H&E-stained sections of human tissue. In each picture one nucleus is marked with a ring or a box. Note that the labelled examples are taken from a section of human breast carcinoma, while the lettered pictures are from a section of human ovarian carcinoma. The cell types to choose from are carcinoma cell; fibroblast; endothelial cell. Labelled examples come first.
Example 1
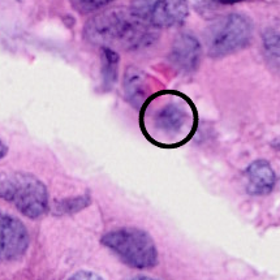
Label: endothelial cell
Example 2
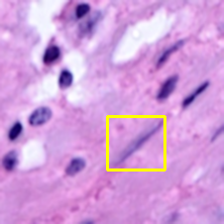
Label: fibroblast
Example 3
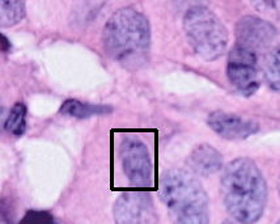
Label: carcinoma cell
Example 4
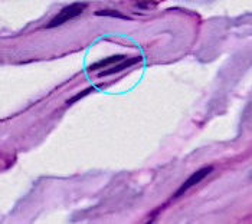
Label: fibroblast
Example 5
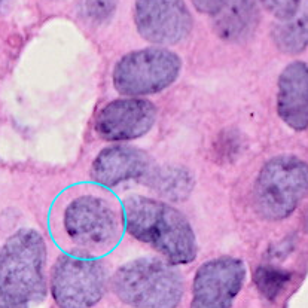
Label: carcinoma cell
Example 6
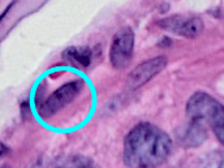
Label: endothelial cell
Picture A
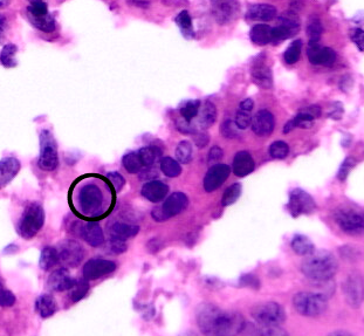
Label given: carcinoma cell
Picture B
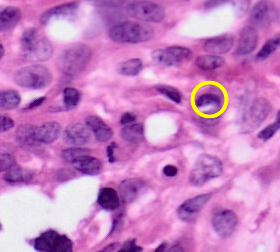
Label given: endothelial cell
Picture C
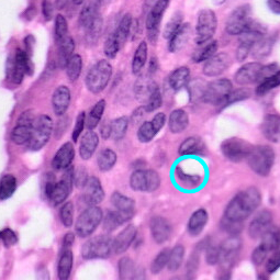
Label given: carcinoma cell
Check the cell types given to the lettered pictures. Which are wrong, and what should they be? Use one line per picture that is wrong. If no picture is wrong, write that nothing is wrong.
C: change carcinoma cell to endothelial cell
